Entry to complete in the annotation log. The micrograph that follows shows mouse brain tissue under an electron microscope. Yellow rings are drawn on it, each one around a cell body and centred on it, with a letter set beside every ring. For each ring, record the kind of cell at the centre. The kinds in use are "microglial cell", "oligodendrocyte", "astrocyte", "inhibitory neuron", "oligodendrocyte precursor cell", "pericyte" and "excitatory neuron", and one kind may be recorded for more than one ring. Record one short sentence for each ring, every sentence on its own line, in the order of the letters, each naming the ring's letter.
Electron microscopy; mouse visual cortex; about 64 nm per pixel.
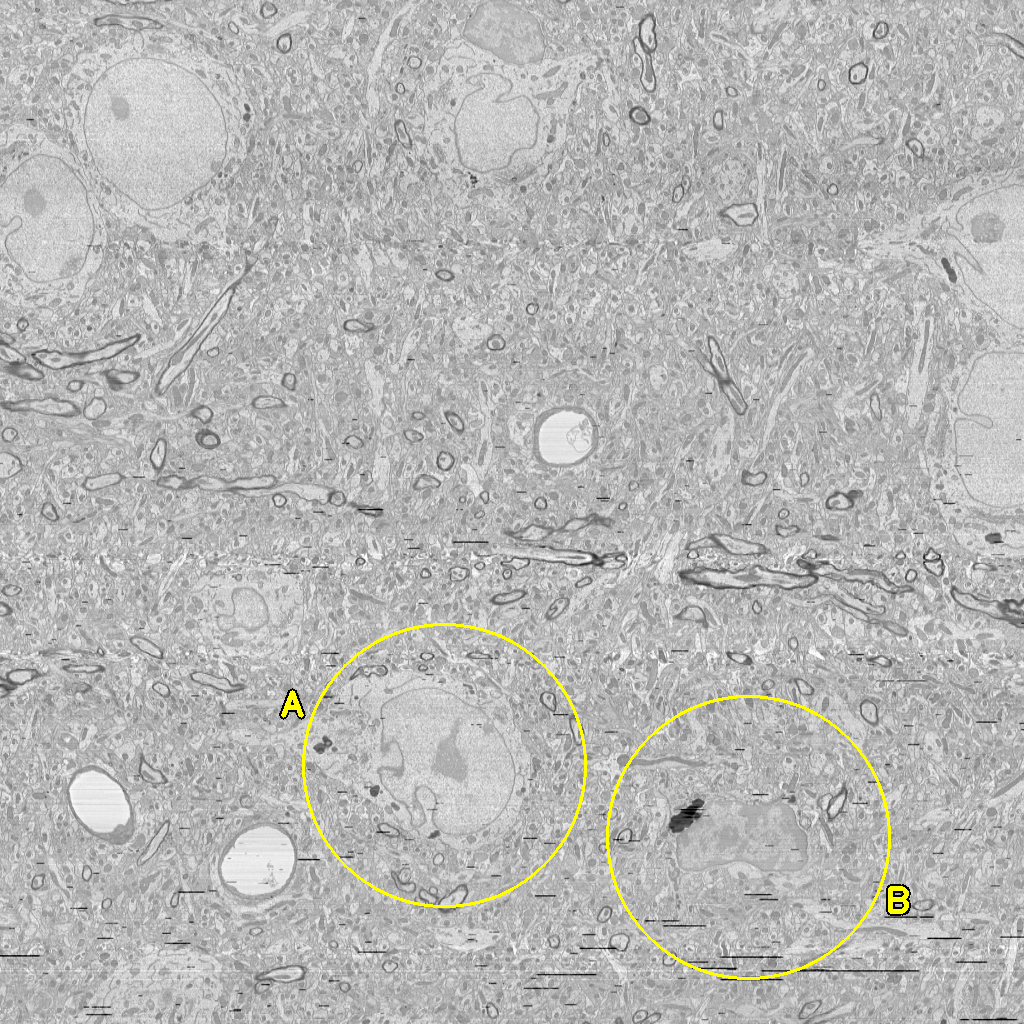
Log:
Ring A is placed around an excitatory neuron.
Ring B is placed around a microglial cell.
